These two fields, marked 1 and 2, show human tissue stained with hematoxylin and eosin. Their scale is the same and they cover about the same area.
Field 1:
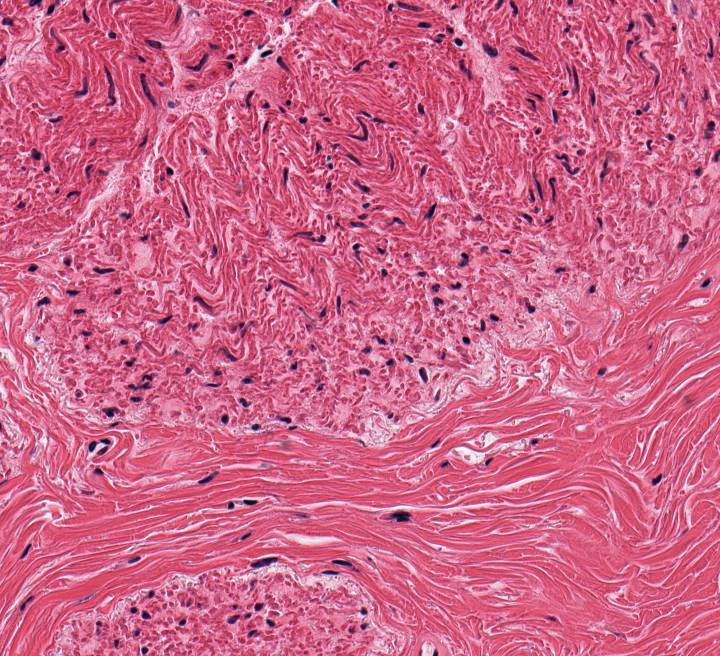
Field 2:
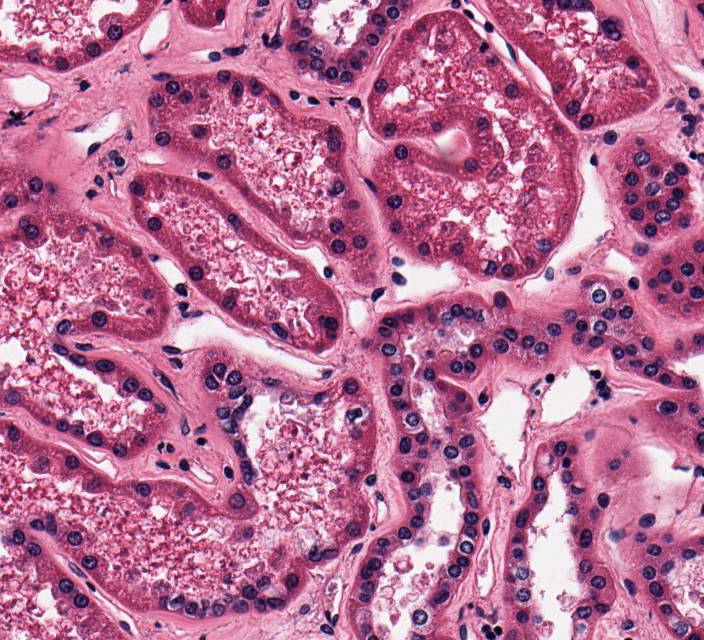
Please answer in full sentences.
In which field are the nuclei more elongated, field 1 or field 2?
On the whole the nuclei of field 1 are more drawn out than those of field 2.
